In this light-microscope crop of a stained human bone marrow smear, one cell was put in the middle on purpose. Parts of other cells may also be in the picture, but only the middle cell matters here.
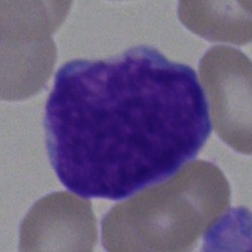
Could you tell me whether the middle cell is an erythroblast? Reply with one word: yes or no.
no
